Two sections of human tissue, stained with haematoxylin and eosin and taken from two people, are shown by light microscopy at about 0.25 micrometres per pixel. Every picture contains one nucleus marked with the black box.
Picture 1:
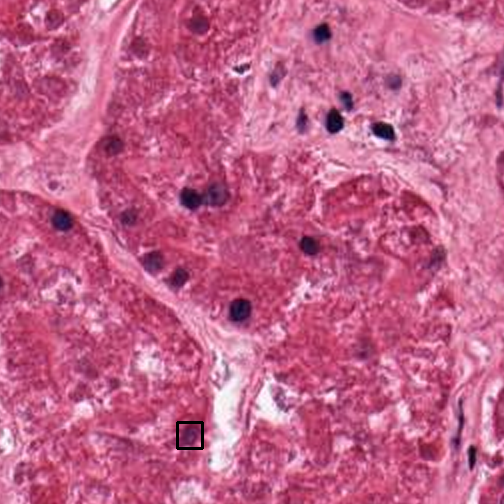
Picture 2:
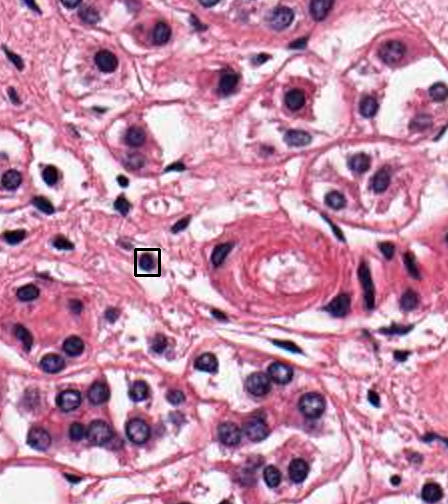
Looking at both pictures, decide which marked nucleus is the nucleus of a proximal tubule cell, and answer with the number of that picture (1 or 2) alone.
1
